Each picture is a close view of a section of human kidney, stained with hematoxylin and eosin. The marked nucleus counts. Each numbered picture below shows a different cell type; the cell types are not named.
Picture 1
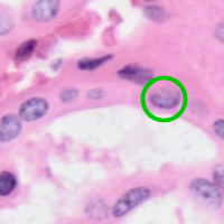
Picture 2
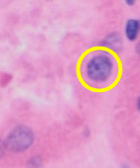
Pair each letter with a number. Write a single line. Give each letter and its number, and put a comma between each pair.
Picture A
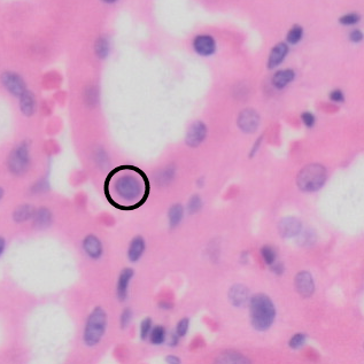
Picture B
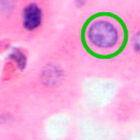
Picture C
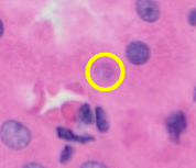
A 1, B 2, C 2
